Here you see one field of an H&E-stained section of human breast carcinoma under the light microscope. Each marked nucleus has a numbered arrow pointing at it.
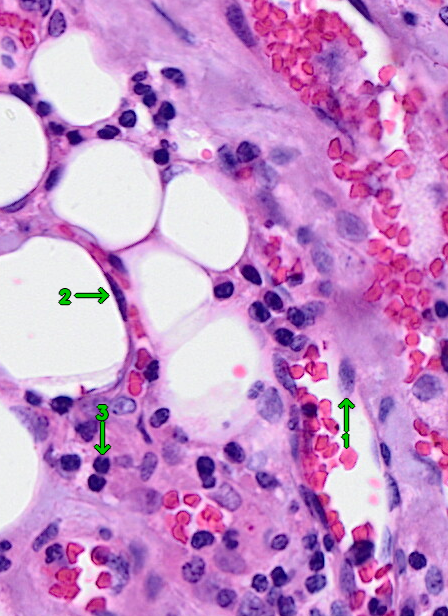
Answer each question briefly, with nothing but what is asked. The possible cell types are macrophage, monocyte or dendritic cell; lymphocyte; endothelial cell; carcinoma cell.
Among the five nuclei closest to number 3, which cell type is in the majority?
macrophage, monocyte or dendritic cell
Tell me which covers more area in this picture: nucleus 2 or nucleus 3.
2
